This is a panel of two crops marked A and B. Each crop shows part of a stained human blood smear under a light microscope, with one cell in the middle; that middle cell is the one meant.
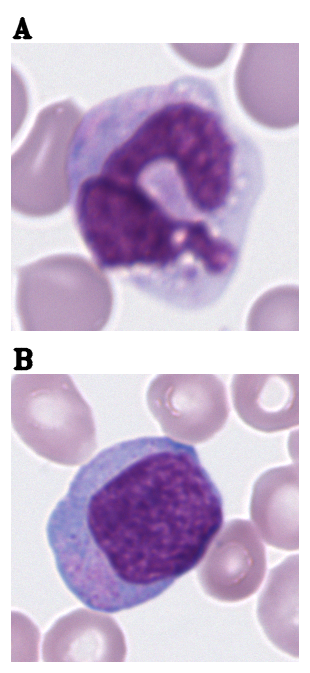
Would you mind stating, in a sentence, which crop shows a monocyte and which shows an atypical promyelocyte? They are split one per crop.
Crop B is an atypical promyelocyte, while crop A is a monocyte.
